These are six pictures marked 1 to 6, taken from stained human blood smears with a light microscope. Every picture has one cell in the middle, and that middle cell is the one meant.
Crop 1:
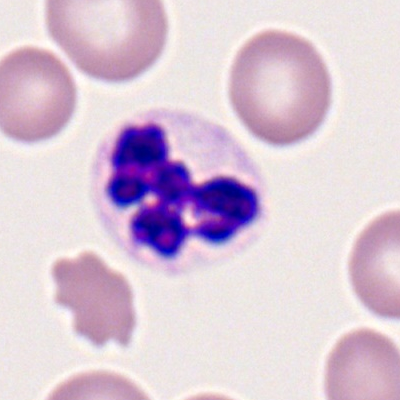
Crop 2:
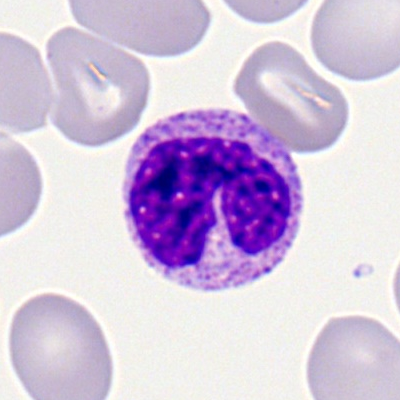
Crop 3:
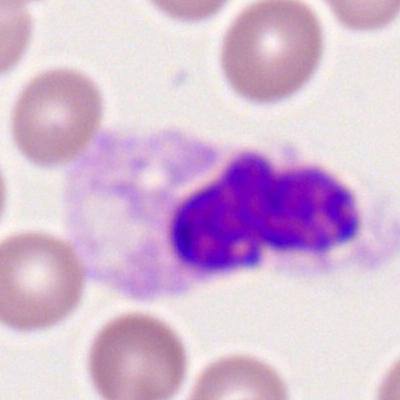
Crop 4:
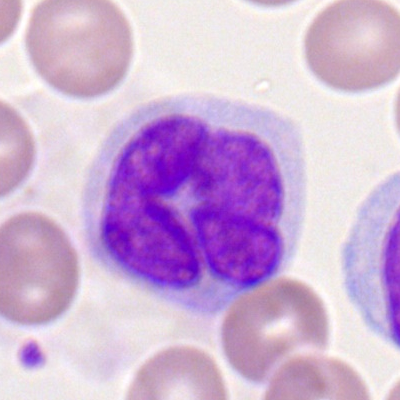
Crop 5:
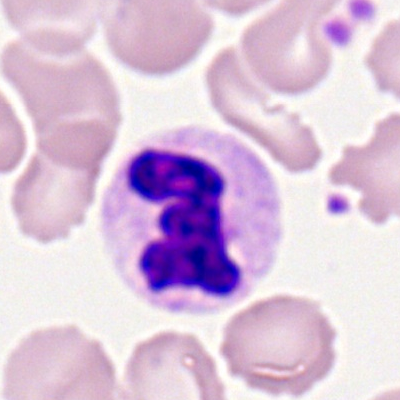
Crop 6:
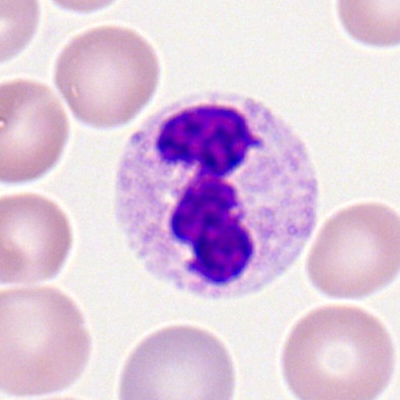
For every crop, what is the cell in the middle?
1: segmented neutrophil
2: segmented neutrophil
3: segmented neutrophil
4: monocyte
5: segmented neutrophil
6: segmented neutrophil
